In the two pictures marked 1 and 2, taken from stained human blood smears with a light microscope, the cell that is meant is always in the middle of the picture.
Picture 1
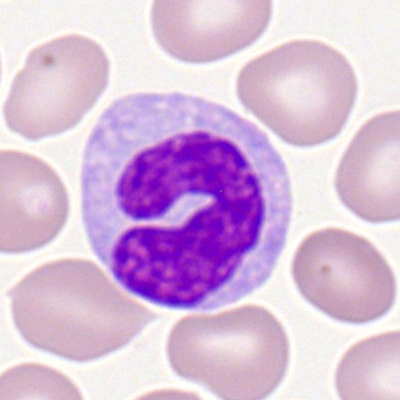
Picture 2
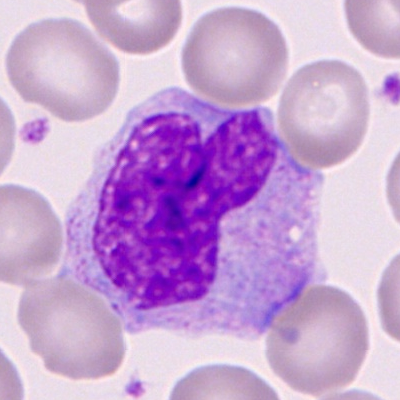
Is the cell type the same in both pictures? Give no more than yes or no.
yes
